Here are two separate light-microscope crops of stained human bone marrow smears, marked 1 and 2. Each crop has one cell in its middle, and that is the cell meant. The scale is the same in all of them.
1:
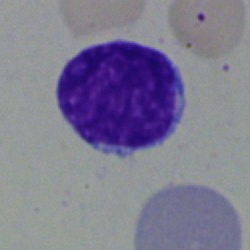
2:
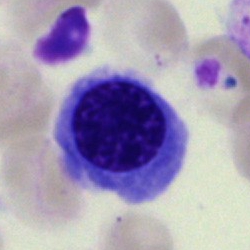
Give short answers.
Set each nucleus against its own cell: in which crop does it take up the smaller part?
2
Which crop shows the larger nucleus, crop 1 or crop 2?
1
